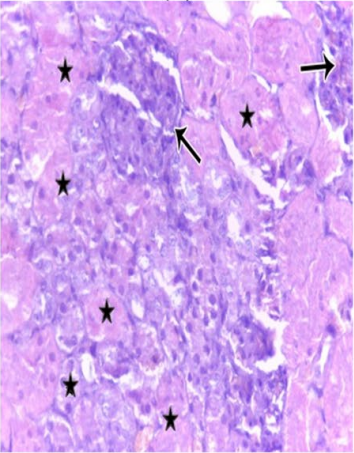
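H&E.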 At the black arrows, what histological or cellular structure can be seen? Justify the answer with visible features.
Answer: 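Glomeruli. The marked structures are rounded clusters of purple nuclei. These clusters are more cellular than the surrounding pink tubules.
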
